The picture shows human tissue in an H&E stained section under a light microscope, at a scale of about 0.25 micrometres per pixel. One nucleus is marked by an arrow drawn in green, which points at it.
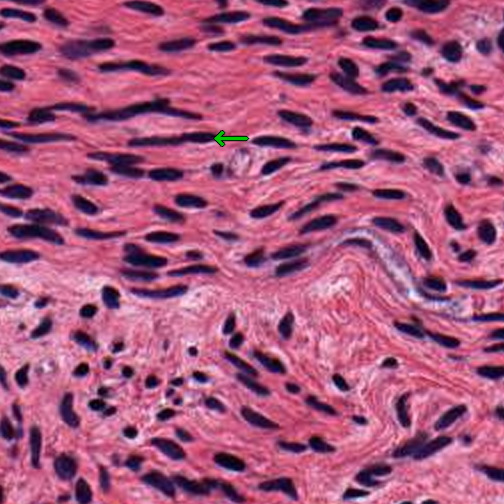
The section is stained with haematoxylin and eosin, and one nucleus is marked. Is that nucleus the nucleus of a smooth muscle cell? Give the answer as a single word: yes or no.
yes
